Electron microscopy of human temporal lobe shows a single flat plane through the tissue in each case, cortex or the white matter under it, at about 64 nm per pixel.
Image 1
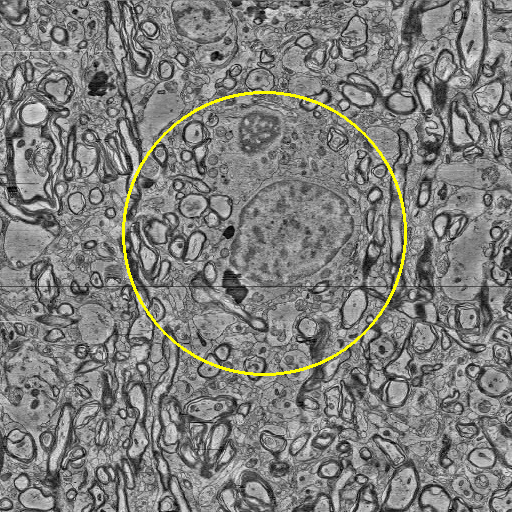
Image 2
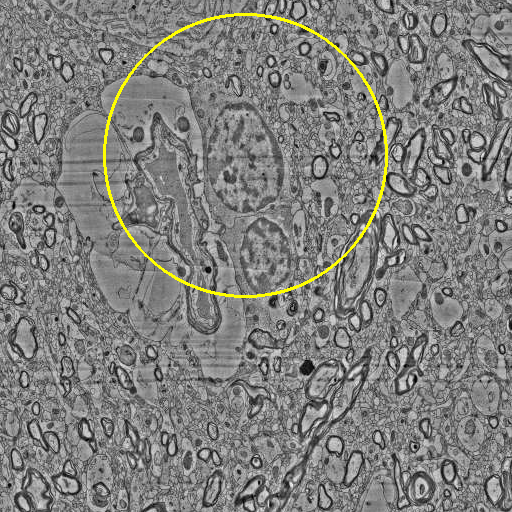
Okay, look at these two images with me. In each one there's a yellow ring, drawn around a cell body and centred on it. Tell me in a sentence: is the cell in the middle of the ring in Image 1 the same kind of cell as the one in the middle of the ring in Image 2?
Yes, they're the same kind of cell.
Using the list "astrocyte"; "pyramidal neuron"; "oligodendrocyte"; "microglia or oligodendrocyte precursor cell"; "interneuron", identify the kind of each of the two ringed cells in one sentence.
Each cell at the centre of a ring is an oligodendrocyte.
